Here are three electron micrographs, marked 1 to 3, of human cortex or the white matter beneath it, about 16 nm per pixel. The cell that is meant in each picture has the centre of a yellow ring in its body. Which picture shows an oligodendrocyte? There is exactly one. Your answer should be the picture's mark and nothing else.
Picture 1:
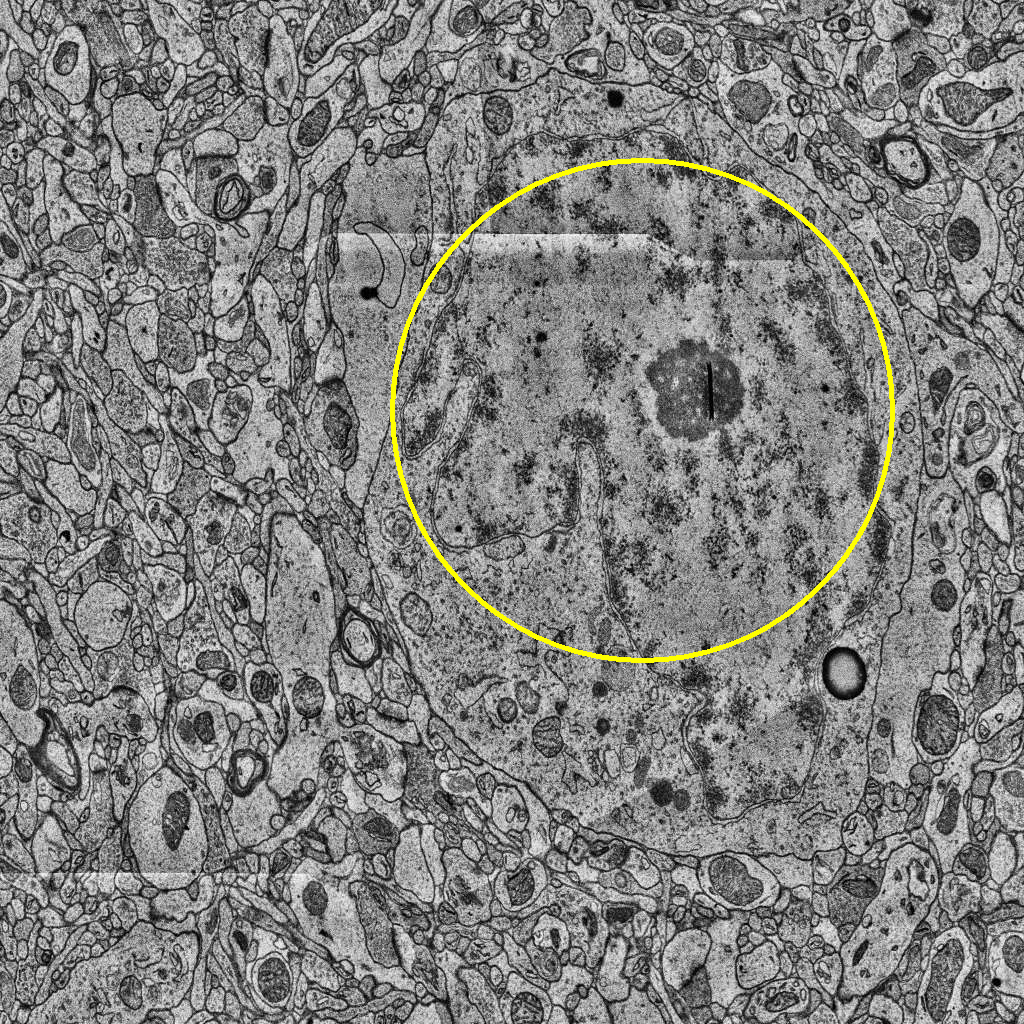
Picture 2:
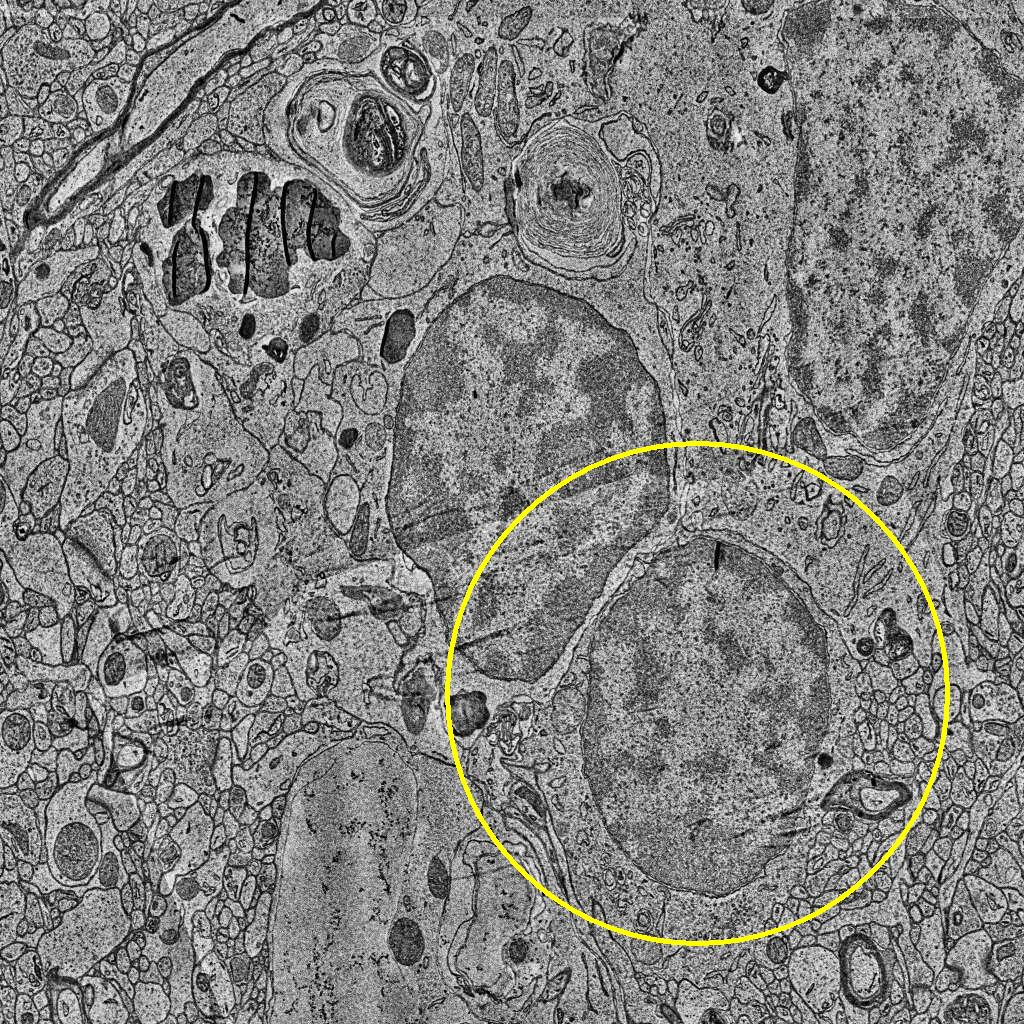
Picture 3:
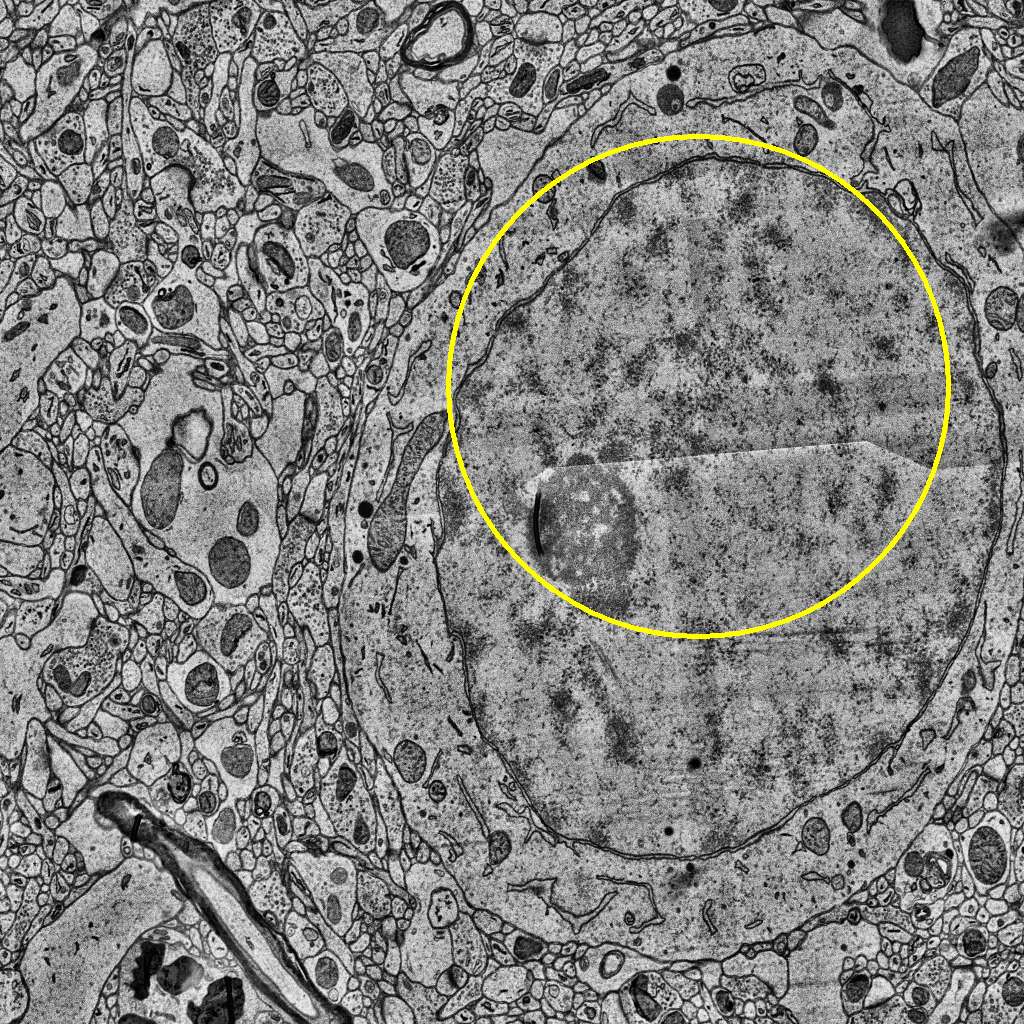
2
